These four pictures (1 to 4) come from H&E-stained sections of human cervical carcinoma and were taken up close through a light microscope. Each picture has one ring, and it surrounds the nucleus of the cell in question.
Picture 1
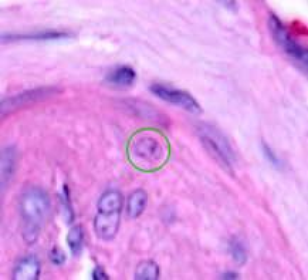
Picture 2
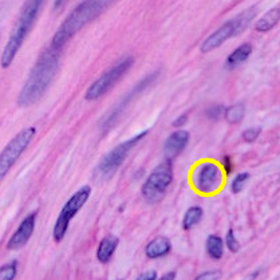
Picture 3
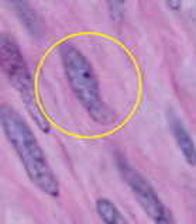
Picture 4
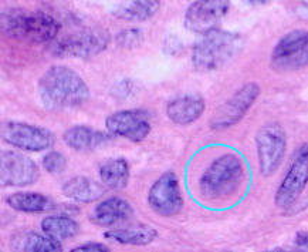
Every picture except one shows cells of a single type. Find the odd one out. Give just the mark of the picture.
4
